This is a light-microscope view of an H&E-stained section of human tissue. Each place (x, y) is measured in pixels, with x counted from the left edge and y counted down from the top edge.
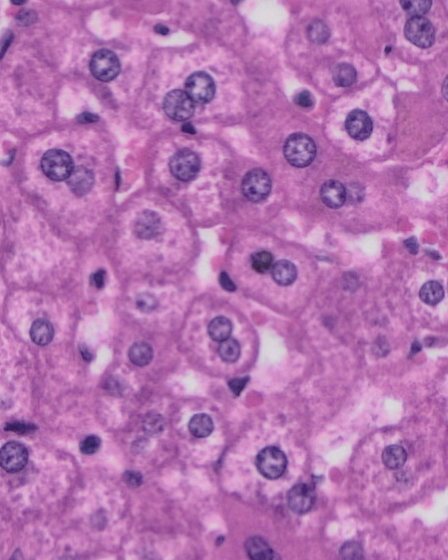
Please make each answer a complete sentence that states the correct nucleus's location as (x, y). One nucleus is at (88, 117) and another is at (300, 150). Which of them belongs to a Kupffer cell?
Housed in a Kupffer cell is the nucleus at (88, 117), not the other one.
